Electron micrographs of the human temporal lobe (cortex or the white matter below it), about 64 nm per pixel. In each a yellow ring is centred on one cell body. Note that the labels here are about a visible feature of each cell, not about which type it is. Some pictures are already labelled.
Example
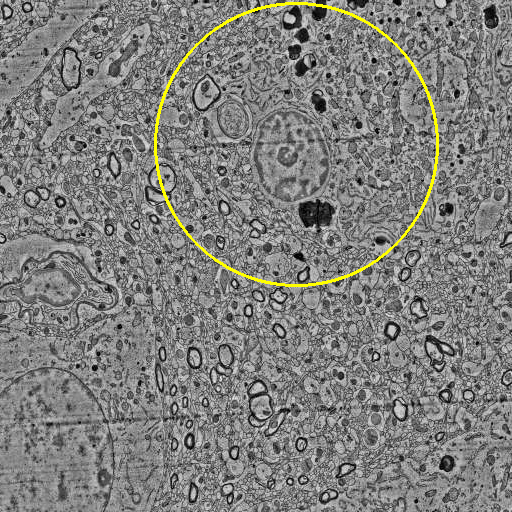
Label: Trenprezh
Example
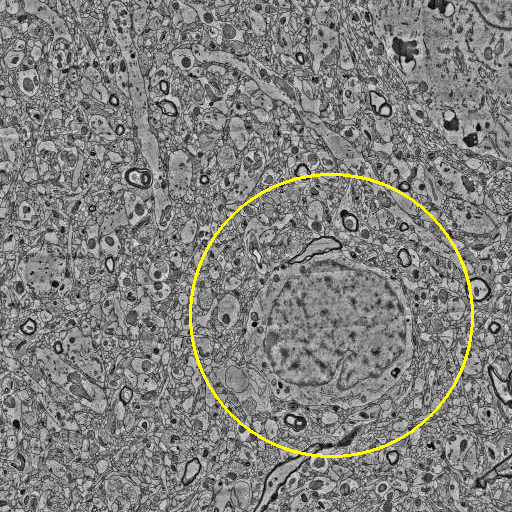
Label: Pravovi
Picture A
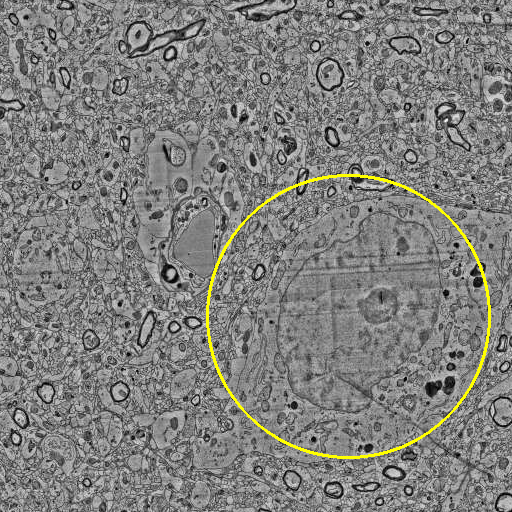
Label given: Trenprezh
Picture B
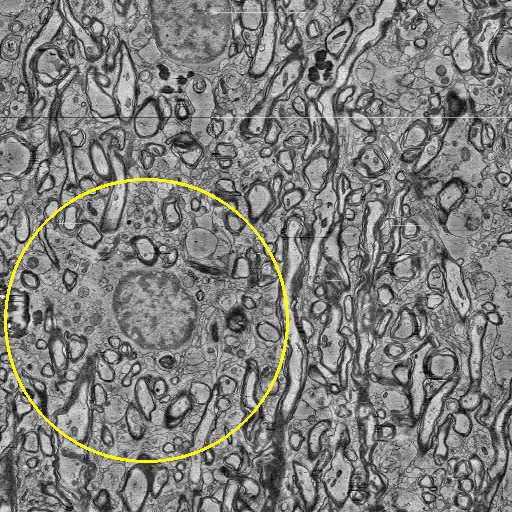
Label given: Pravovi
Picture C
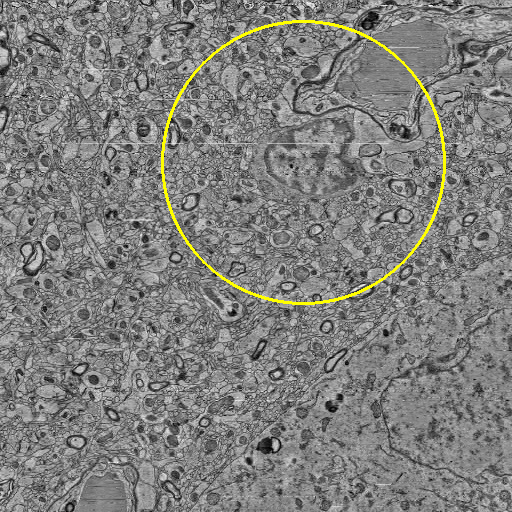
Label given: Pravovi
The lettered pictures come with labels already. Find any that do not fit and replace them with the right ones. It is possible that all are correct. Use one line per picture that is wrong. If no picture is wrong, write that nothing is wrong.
No label is wrong.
